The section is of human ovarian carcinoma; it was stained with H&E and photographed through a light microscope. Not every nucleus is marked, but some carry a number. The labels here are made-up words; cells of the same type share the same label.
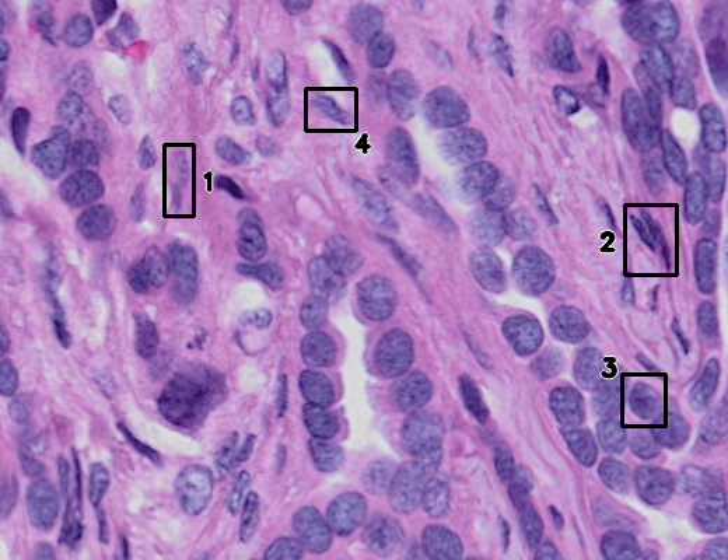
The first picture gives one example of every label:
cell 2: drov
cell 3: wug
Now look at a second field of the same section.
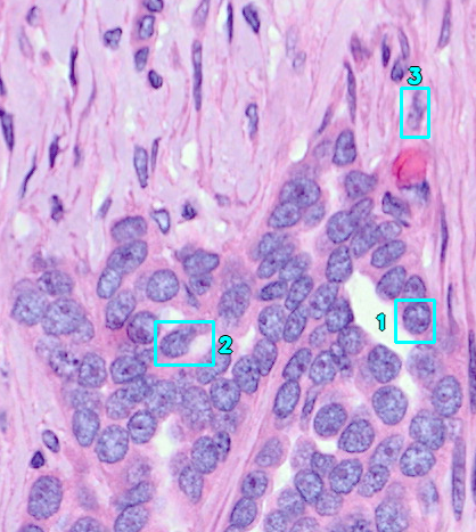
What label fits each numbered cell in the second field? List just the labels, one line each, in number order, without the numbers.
wug
wug
drov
